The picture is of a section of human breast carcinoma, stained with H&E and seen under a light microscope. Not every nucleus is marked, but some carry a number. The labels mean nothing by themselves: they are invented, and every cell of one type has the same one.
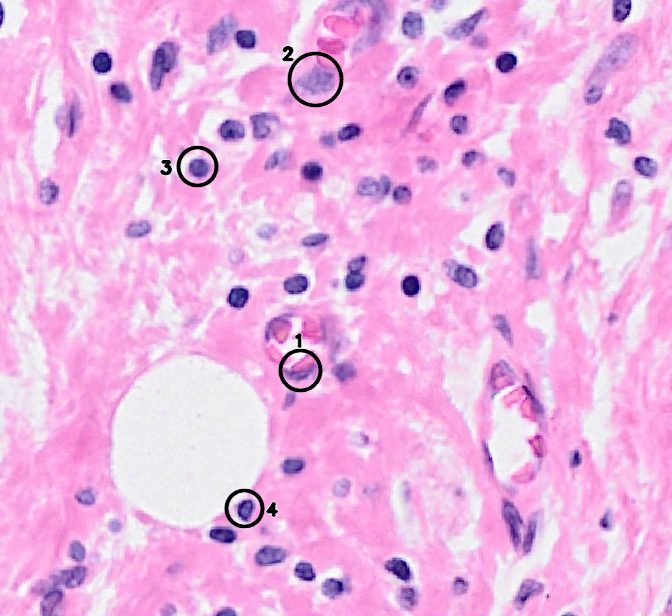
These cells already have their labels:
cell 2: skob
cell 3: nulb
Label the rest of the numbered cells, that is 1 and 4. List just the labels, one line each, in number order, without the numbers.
skob
nulb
